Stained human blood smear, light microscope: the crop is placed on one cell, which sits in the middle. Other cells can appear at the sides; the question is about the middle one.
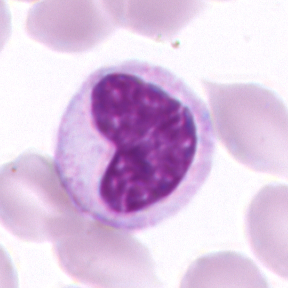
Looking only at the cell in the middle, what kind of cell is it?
metamyelocyte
